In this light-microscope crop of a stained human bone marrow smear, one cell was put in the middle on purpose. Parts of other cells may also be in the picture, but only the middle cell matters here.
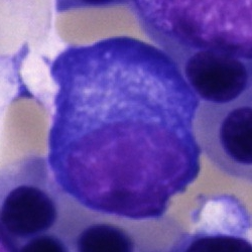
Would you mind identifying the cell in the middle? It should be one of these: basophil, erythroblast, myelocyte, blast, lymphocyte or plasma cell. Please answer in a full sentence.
To answer, the cell in the center of the crop is a plasma cell.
